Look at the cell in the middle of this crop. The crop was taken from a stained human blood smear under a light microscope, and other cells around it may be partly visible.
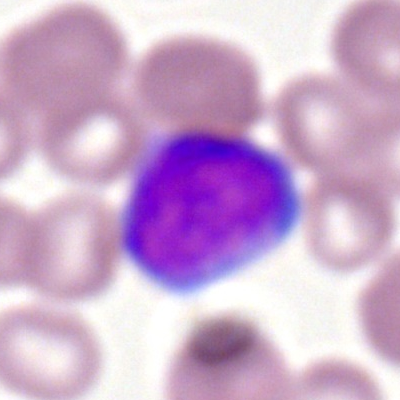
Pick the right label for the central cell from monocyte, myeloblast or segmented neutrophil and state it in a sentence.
In the center of this field lies a myeloblast.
